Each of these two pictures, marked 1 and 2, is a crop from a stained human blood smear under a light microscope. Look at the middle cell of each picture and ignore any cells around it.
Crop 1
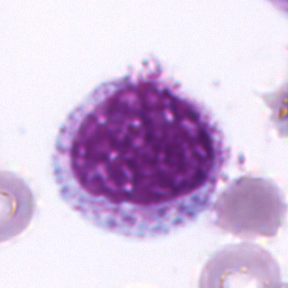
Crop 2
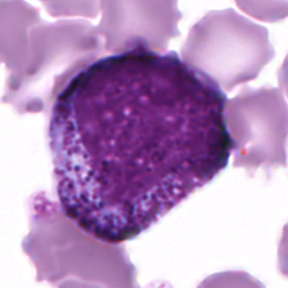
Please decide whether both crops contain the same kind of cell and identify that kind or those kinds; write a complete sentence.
Yes, both crops show myelocytes at their middles.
